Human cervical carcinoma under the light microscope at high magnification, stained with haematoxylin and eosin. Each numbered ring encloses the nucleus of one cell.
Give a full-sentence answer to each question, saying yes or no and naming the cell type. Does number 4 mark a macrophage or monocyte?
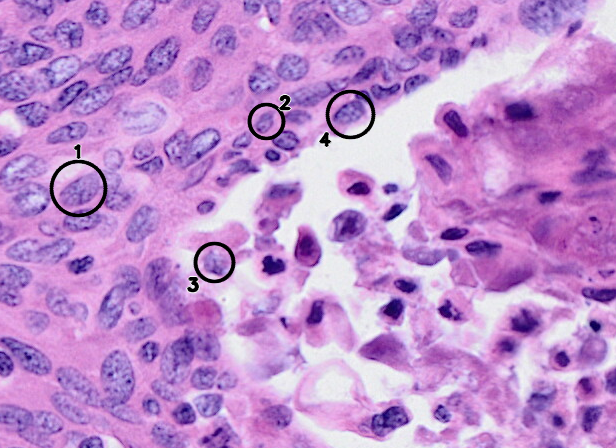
No, the cell under number 4 is a squamous carcinoma cell, not a macrophage or monocyte.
